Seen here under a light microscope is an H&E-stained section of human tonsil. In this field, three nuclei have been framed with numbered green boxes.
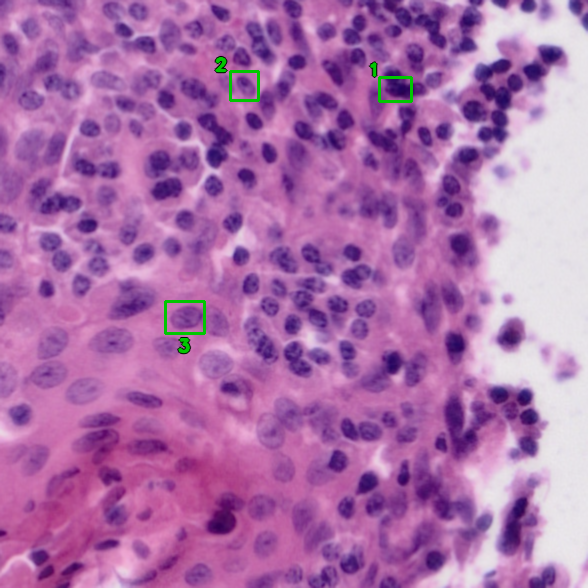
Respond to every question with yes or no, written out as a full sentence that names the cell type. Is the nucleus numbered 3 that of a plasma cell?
No, the cell denoted 3 is a squamous epithelial cell rather than a plasma cell.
